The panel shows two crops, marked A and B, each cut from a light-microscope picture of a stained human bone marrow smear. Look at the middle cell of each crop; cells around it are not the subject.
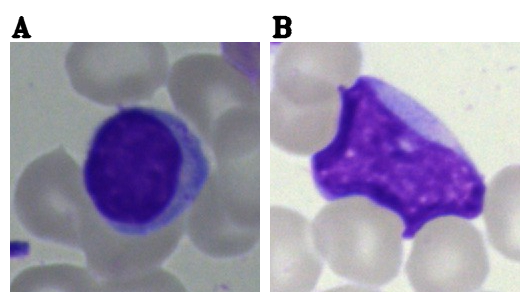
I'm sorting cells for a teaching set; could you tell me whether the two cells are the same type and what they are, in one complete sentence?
No, crop A is home to a lymphocyte, and crop B to a blast.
